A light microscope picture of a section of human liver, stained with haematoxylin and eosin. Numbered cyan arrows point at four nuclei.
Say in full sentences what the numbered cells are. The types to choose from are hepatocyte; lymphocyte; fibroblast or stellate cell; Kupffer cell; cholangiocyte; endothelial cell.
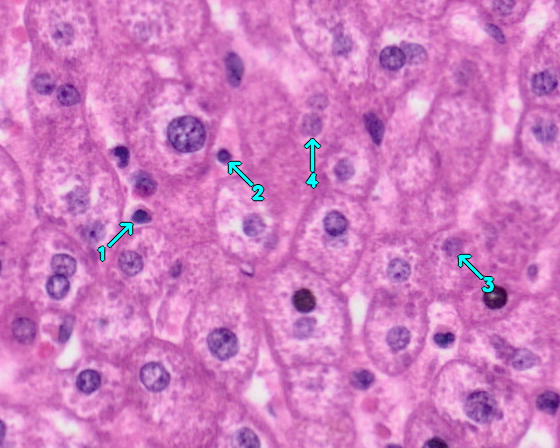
Cells 1 and 2 are lymphocytes. Cells 3 and 4 are hepatocytes.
